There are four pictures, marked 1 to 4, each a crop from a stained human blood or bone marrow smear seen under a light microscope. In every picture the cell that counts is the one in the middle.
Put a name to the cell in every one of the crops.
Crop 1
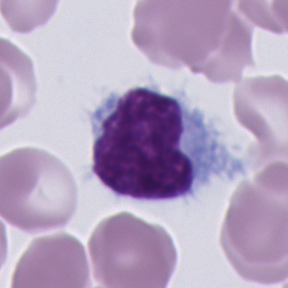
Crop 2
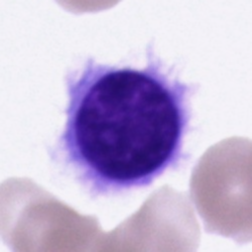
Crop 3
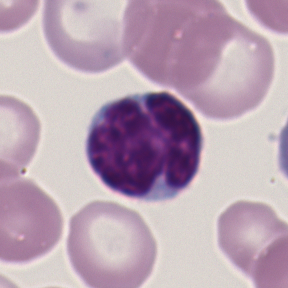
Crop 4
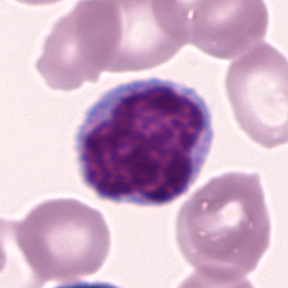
1: hairy cell
2: hairy cell
3: lymphocyte
4: lymphocyte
